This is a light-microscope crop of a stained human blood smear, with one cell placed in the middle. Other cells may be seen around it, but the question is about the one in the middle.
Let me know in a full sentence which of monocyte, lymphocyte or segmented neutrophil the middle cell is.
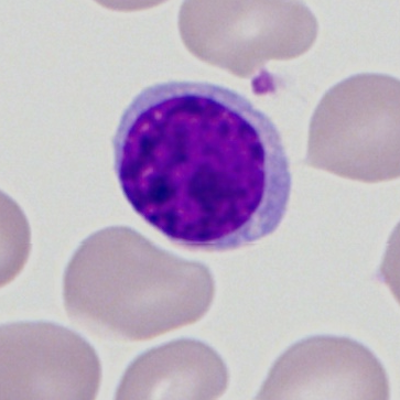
The cell shown in the center of this light-microscope crop is a lymphocyte.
